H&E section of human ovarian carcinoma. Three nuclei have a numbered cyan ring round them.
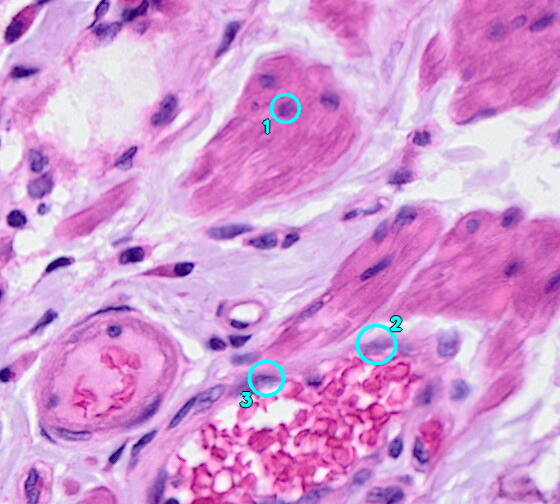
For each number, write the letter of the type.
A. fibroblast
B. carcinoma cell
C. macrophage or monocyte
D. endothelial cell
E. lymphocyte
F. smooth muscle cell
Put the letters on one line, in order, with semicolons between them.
F; D; D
